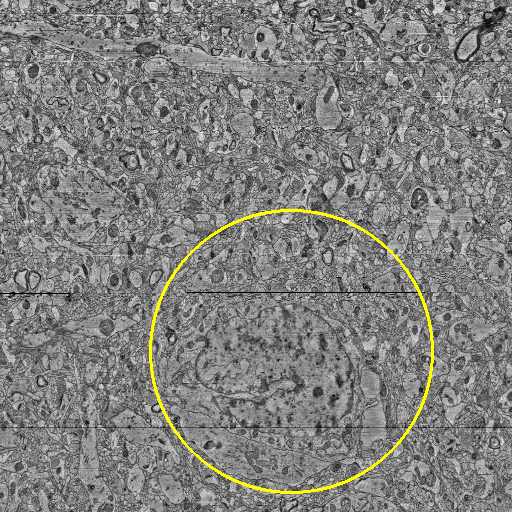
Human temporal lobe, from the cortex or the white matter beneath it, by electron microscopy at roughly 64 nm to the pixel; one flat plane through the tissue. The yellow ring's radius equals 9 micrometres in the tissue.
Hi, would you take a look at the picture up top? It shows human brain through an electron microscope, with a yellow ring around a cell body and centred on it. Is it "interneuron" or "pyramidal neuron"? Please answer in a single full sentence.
The best fit for the cell in the middle of the ring is an interneuron, I reckon.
